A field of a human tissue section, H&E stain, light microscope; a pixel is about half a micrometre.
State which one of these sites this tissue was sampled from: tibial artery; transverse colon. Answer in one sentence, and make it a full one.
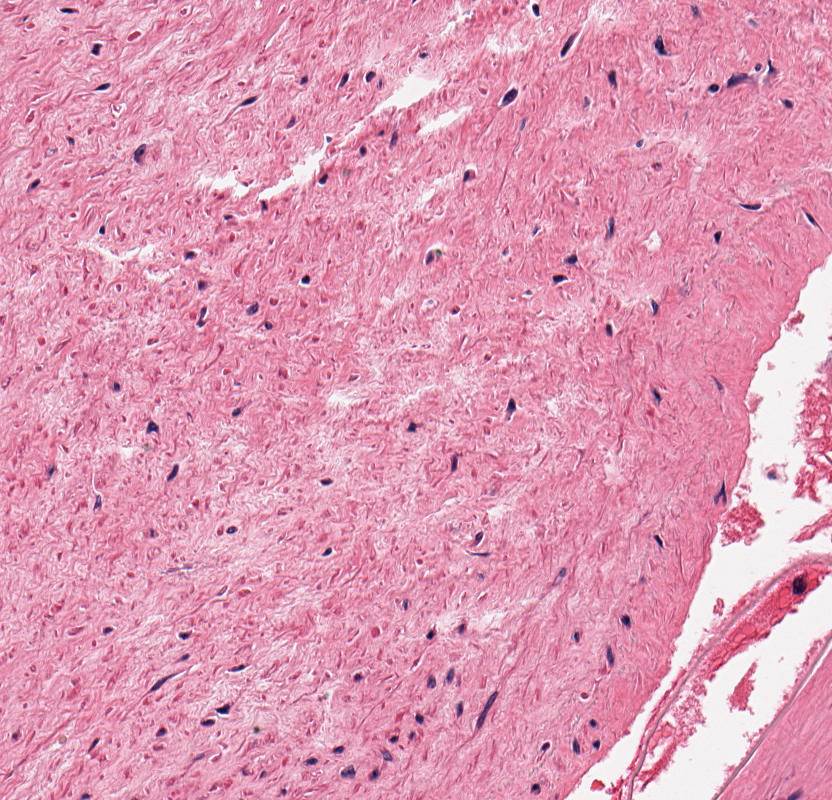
Tissue on this slide was obtained from the tibial artery.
